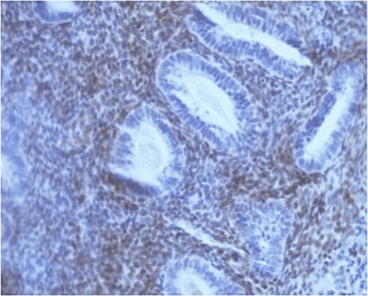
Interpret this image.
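Endometrial tissue with several elongated and somewhat irregular glands set in a cellular stroma. The glands are lined by tall columnar epithelial cells with elongated, blue-stained nuclei arranged in a row along the base, and their cytoplasm is pale with little or no brown colour. The lumens are open and pale. Overall the tissue appears mostly blue, contrasting with the pale glands.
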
